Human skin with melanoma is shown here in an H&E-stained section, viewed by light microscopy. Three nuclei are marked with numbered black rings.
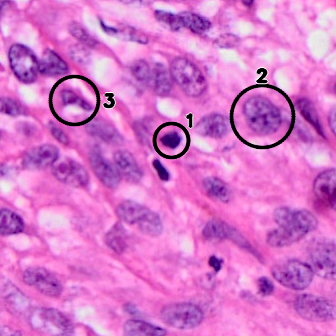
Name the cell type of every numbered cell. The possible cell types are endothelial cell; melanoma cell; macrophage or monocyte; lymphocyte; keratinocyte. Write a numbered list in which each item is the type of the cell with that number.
1. lymphocyte
2. melanoma cell
3. melanoma cell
